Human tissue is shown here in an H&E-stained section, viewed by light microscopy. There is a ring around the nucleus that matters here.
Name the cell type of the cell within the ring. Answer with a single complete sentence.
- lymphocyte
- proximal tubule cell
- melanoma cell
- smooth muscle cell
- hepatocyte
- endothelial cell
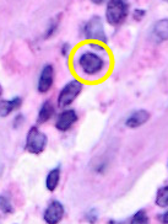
In this section, the cell within the ring is a lymphocyte.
